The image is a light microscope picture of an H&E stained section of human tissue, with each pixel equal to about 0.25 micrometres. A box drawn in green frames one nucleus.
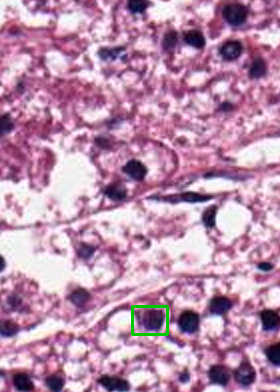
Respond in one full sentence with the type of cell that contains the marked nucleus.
The marked nucleus is that of an adrenal cortical cell in this section.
